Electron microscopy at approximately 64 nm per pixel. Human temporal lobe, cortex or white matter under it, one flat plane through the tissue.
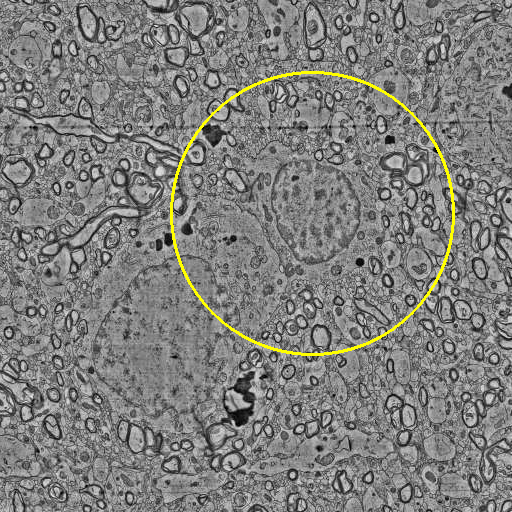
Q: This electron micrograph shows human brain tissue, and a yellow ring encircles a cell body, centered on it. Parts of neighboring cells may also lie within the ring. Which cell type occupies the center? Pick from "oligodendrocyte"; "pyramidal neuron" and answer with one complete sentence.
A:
What sits at the ring's center in this micrograph is an oligodendrocyte, among those choices.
